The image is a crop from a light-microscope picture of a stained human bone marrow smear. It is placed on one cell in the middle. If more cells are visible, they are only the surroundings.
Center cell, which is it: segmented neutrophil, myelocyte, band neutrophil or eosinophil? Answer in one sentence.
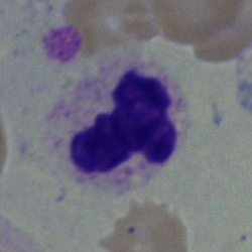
At the middle of the frame sits a segmented neutrophil.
